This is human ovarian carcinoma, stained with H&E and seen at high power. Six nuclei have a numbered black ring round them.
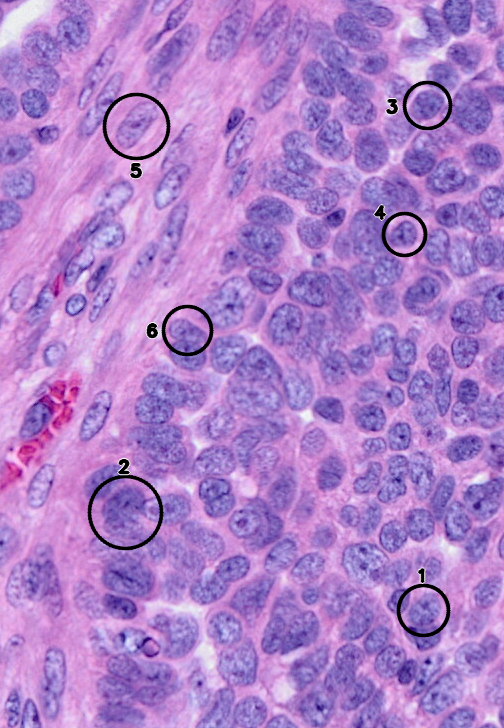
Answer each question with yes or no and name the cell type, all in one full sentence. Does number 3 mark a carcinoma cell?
Yes, the cell identified by number 3 is a carcinoma cell.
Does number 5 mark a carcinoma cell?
No, it is a fibroblast, not a carcinoma cell, at number 5.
